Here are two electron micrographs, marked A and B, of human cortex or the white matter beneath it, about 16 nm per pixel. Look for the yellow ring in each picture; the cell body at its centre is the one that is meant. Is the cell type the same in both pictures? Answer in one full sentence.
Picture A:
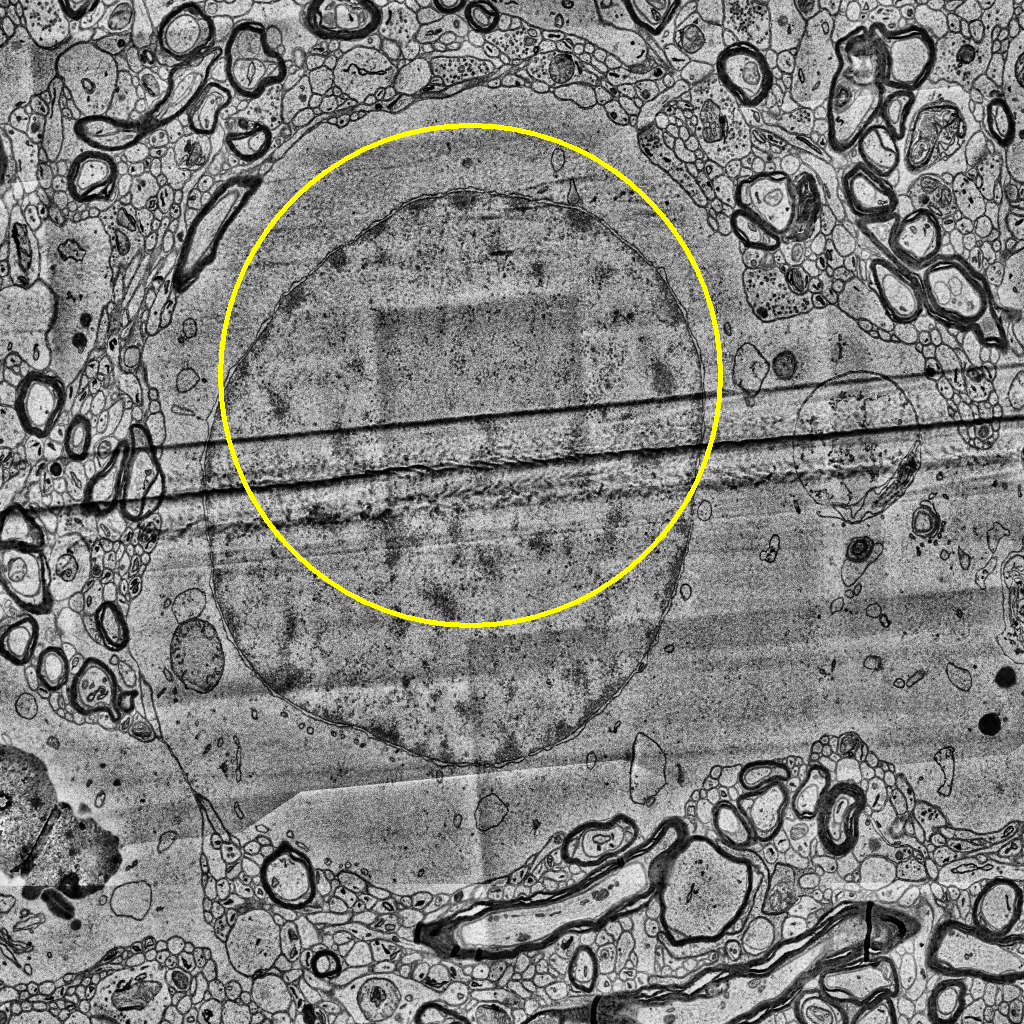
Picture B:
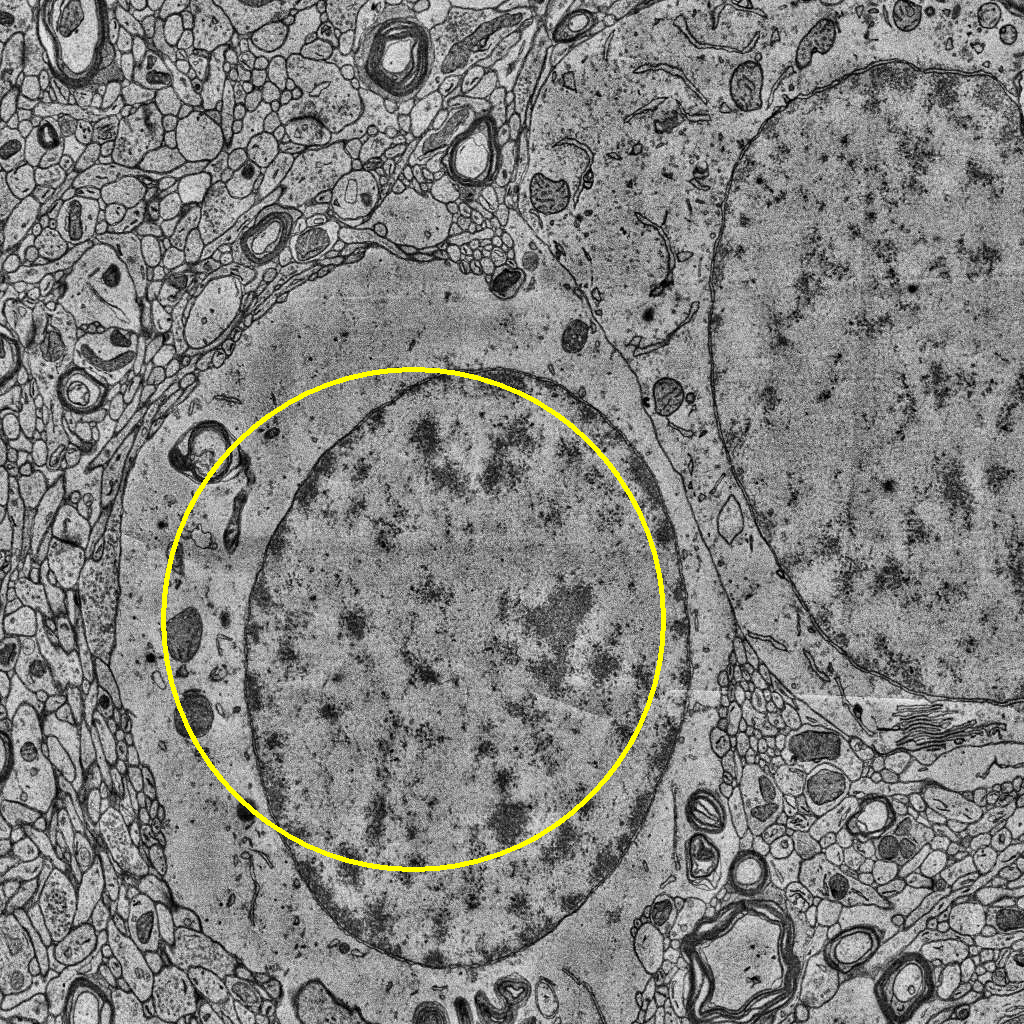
Yes, both are astrocytes.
